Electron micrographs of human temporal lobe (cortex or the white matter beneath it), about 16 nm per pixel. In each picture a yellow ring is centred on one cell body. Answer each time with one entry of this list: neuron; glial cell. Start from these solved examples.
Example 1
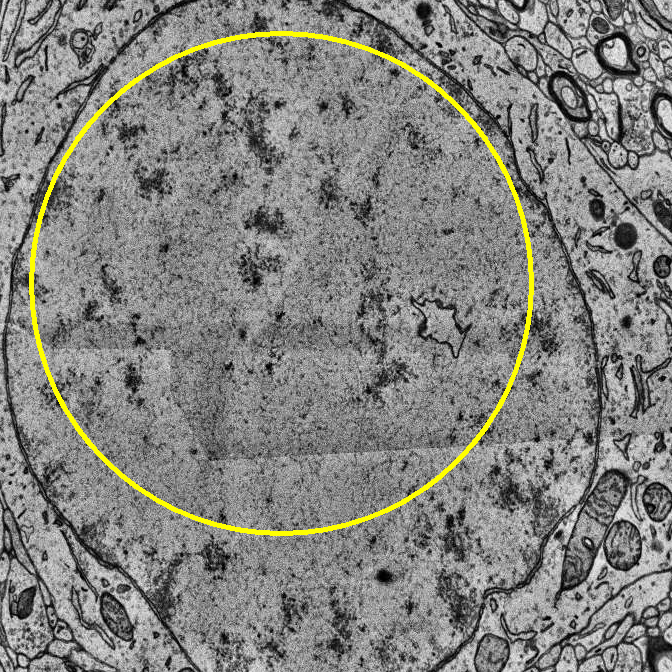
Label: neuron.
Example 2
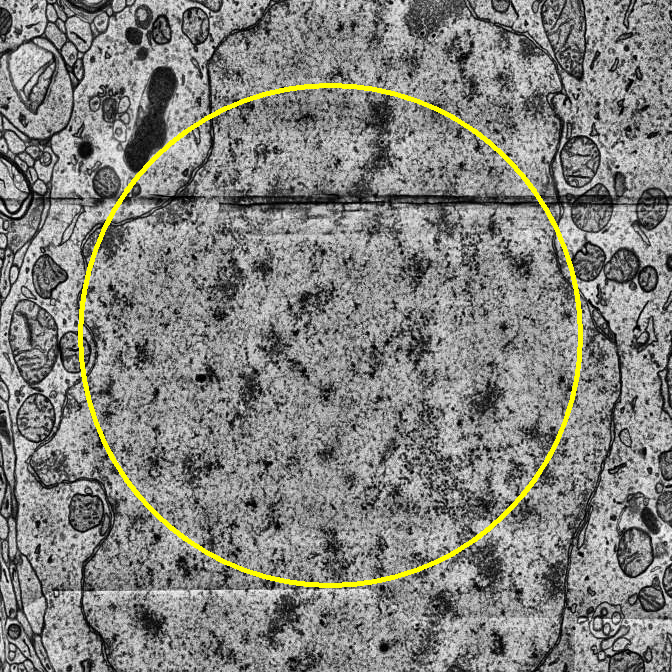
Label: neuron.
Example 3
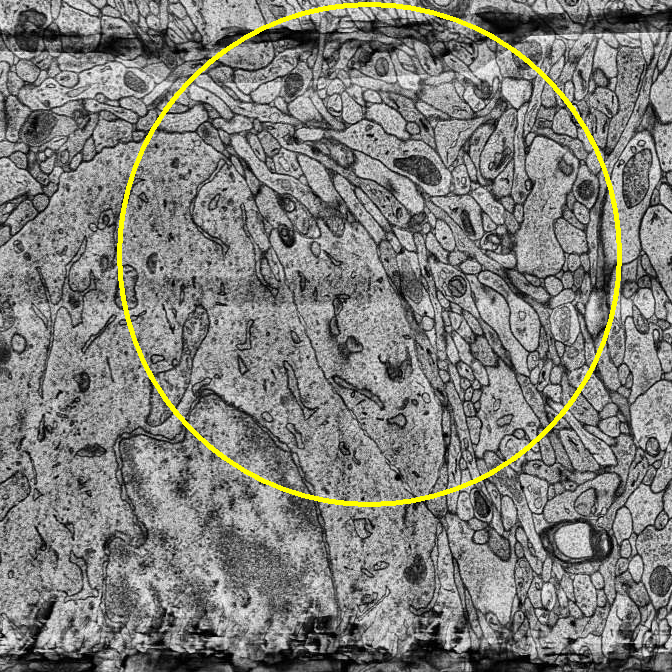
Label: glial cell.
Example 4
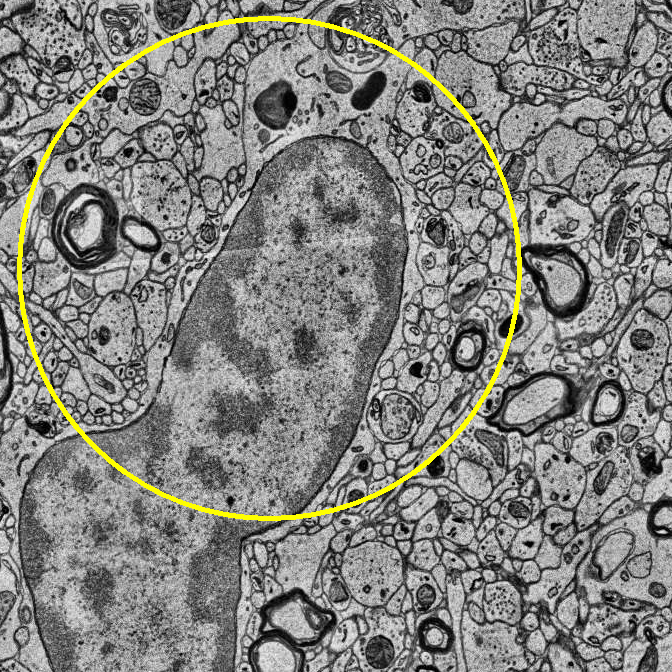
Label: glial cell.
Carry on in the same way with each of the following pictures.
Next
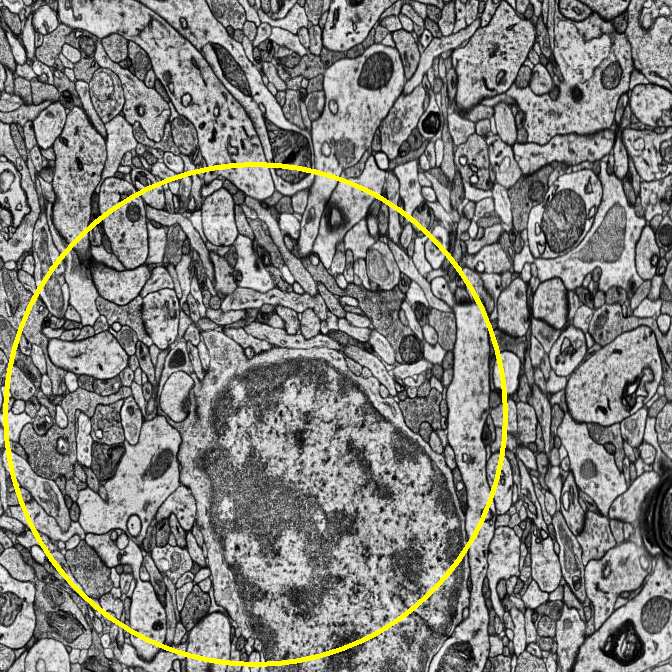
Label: glial cell.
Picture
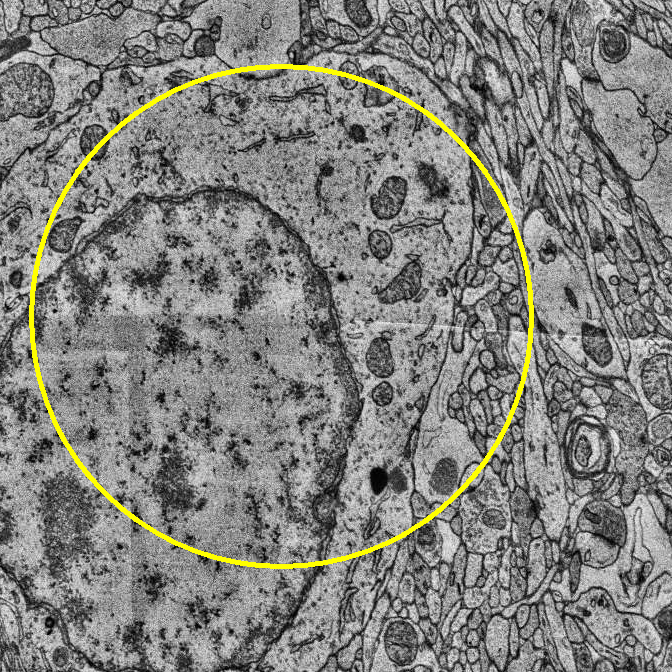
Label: neuron.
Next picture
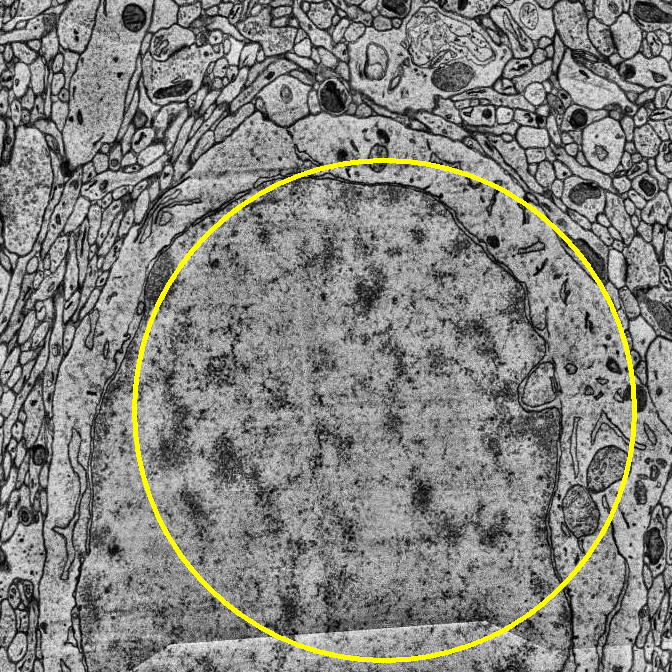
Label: neuron.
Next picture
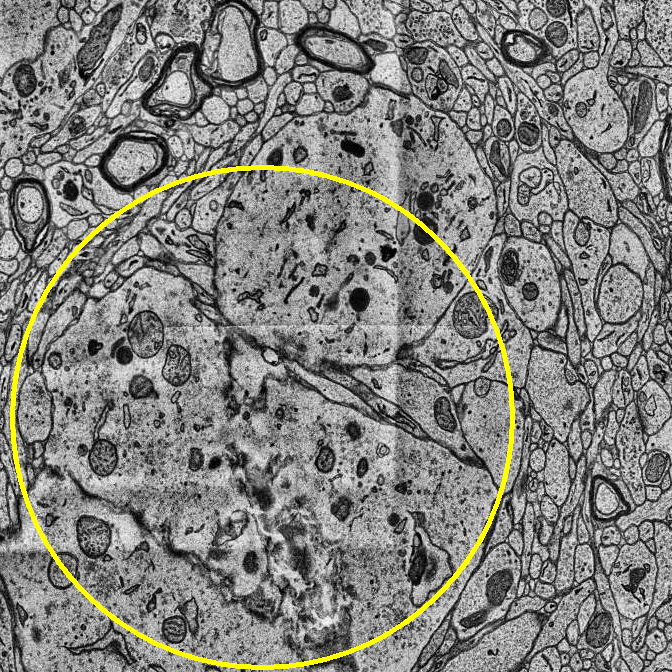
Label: neuron.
